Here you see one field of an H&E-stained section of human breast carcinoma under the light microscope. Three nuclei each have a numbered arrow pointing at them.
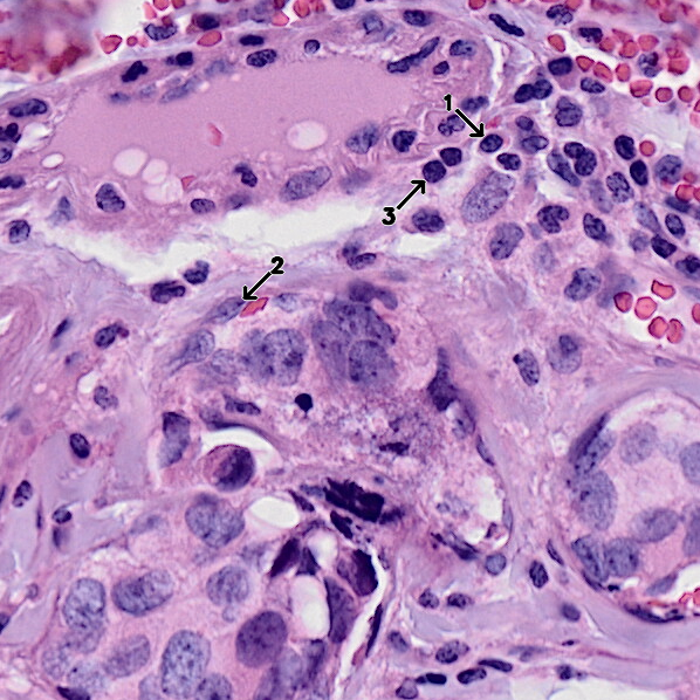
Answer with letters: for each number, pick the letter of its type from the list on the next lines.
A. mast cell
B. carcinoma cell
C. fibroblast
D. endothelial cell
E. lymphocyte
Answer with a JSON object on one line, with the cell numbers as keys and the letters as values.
{"1": "E", "2": "D", "3": "E"}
